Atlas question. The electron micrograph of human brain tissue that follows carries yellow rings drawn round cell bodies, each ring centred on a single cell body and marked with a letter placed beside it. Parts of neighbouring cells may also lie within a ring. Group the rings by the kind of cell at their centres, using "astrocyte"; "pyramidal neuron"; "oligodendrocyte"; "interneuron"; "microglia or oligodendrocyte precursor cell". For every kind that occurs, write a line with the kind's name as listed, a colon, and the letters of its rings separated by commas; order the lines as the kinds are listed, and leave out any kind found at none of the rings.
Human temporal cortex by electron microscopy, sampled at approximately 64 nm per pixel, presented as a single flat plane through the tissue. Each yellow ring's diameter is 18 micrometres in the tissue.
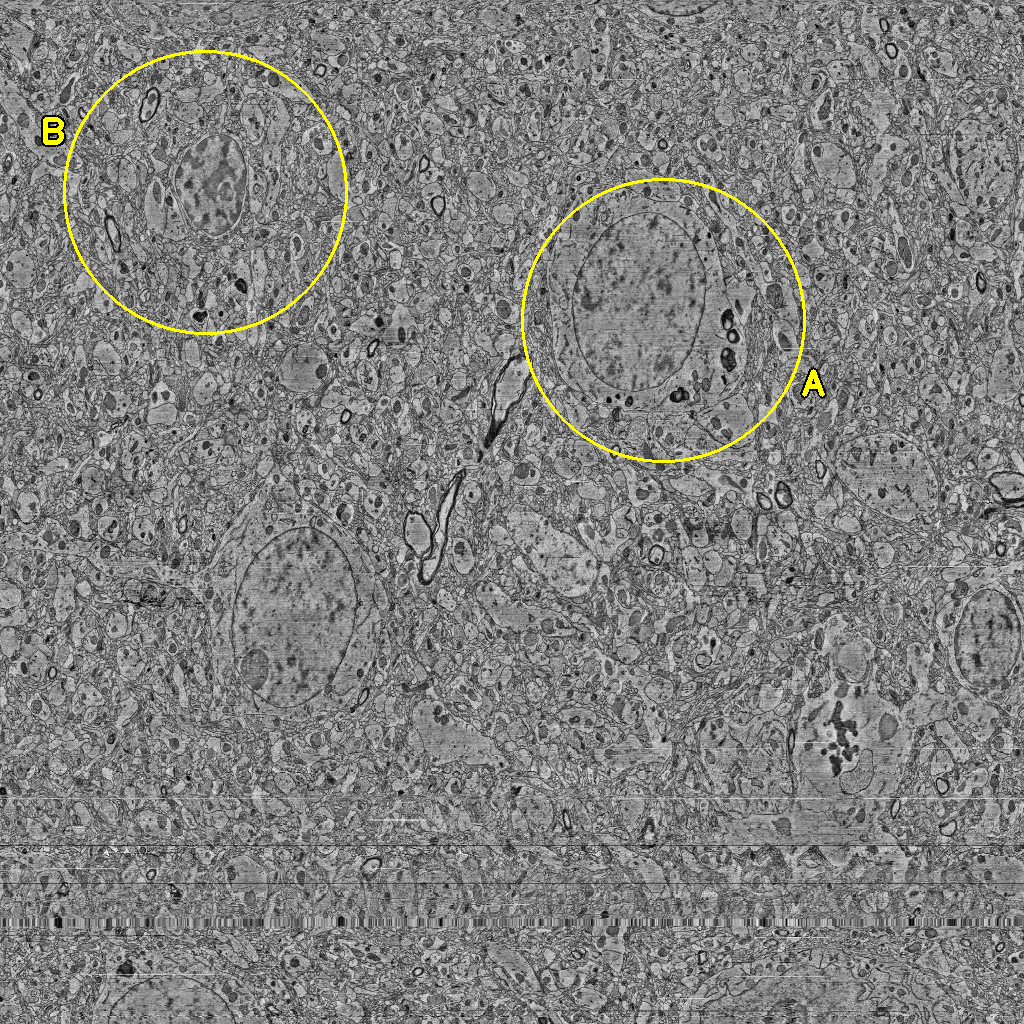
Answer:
pyramidal neuron: A
microglia or oligodendrocyte precursor cell: B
